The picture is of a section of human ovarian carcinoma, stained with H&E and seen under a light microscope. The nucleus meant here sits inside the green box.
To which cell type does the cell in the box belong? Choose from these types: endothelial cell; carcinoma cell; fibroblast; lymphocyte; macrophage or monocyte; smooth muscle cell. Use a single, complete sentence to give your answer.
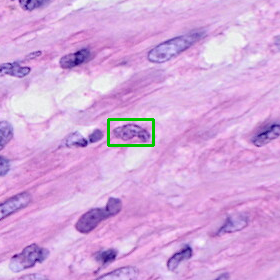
Among the cells in this section, the cell in the box is a macrophage or monocyte.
